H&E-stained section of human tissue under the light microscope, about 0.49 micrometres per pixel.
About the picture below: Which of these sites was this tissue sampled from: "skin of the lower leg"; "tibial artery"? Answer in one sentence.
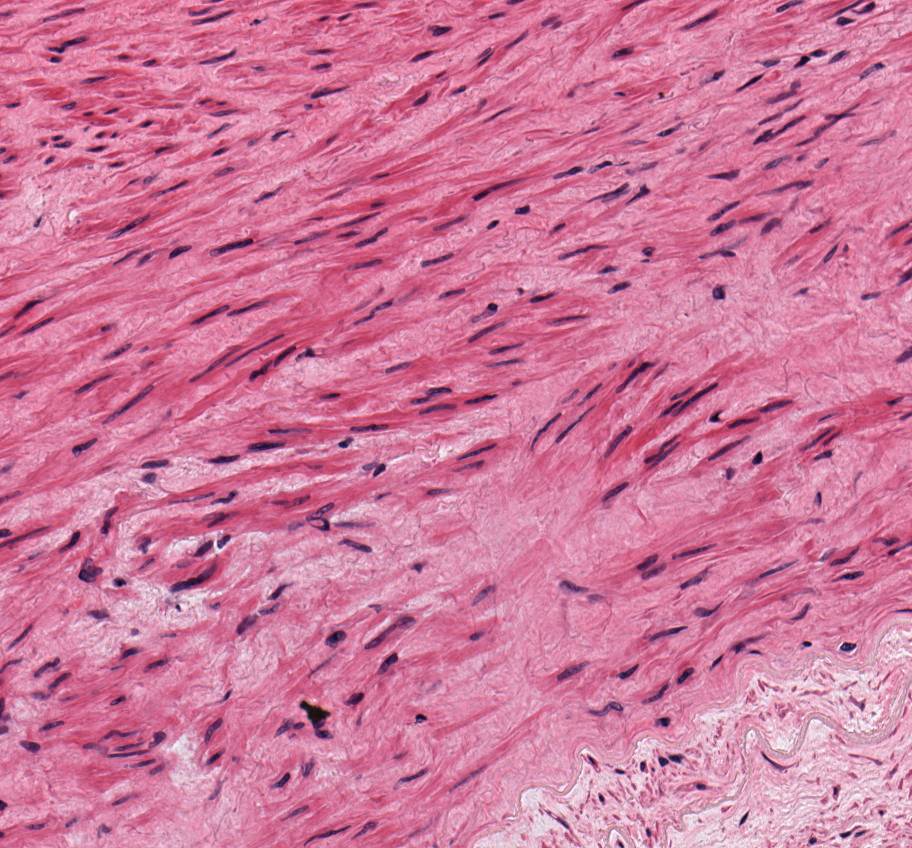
The site this tissue was sampled from is the tibial artery.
